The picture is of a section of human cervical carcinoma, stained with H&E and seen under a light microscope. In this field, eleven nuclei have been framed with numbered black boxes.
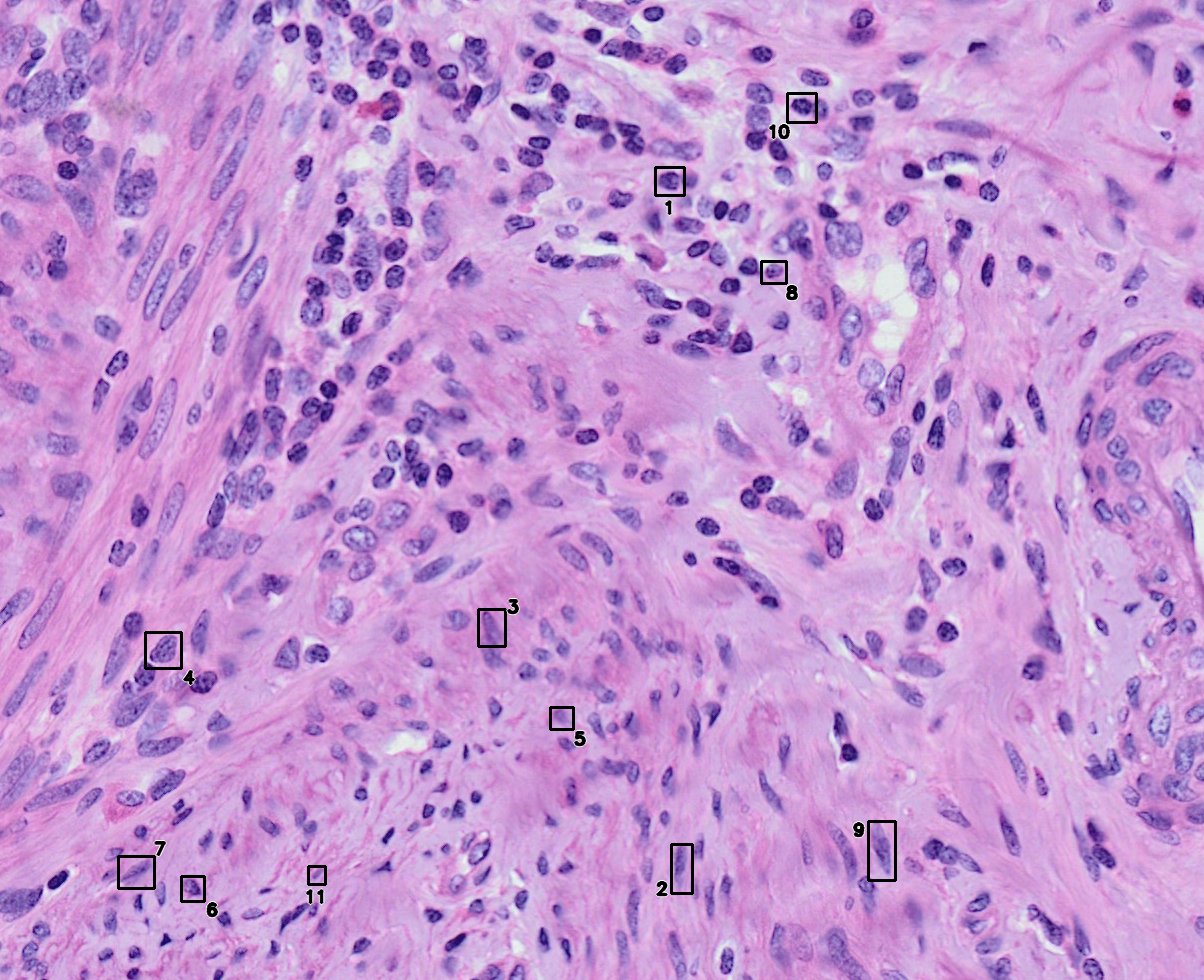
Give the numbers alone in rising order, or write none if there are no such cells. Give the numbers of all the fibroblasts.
2, 9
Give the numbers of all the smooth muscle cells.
3, 5, 6, 7, 11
